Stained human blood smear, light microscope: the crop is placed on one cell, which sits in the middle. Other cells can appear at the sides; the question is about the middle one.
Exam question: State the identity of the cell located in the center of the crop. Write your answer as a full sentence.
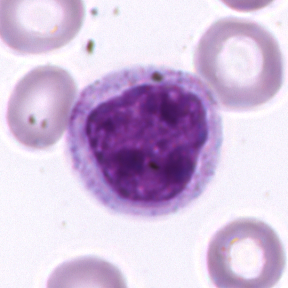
In this crop, the cell at the very middle is a metamyelocyte.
